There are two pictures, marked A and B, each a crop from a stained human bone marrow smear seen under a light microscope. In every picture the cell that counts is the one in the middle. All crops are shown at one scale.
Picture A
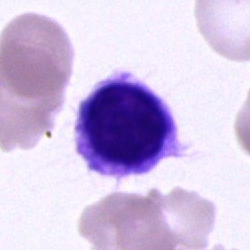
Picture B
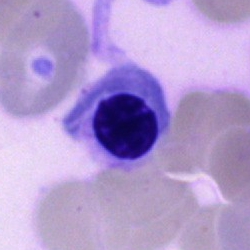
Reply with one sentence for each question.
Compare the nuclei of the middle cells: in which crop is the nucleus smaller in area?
Picture B shows the smaller nucleus, since that in picture A covers about 1.5 times as much area.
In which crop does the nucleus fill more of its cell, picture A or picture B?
In picture A the nucleus takes up the larger part of its cell.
